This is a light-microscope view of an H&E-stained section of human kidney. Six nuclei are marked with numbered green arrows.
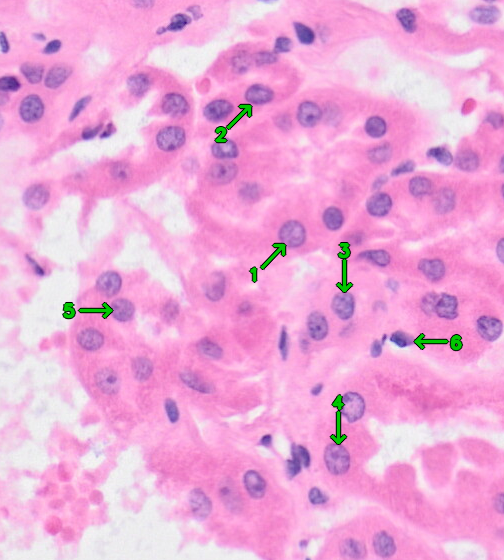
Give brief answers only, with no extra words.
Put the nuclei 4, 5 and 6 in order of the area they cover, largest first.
4, 5, 6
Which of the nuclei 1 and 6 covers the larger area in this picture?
1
